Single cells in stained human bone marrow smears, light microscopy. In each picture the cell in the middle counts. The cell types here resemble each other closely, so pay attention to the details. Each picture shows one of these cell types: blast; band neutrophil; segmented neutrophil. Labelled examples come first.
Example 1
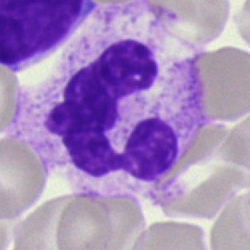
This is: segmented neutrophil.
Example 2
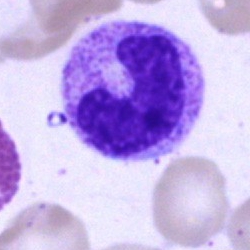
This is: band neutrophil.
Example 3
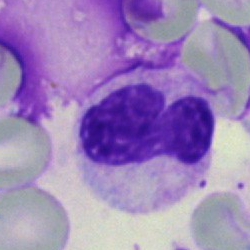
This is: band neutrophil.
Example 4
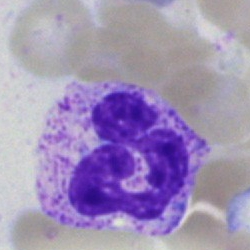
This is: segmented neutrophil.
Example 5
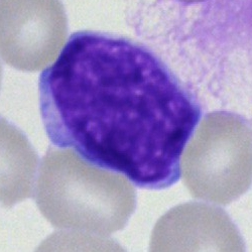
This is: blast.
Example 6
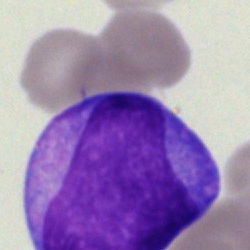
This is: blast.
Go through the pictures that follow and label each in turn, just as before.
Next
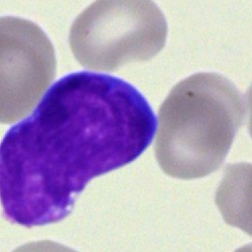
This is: blast.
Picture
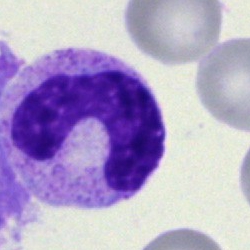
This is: band neutrophil.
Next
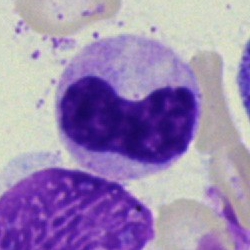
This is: band neutrophil.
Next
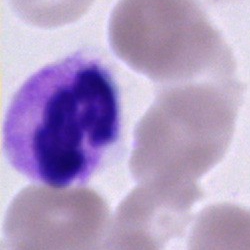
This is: segmented neutrophil.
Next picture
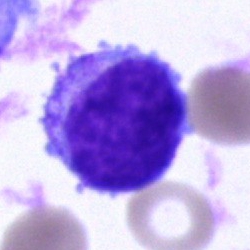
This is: blast.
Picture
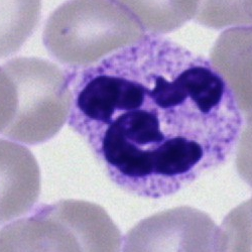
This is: segmented neutrophil.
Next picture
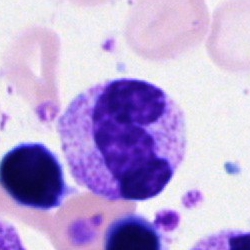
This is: segmented neutrophil.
